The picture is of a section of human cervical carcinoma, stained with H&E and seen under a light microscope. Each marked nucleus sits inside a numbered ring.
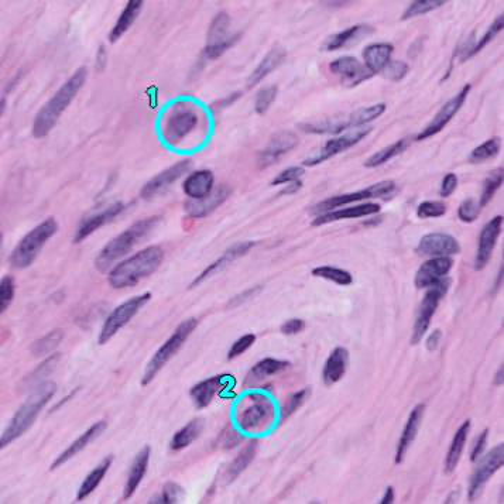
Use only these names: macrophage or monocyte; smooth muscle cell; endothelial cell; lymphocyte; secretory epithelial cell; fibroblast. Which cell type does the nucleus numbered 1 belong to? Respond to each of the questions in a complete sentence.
In this section, number 1 marks a fibroblast.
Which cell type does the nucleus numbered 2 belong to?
Cell 2 in the field of view is an endothelial cell.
